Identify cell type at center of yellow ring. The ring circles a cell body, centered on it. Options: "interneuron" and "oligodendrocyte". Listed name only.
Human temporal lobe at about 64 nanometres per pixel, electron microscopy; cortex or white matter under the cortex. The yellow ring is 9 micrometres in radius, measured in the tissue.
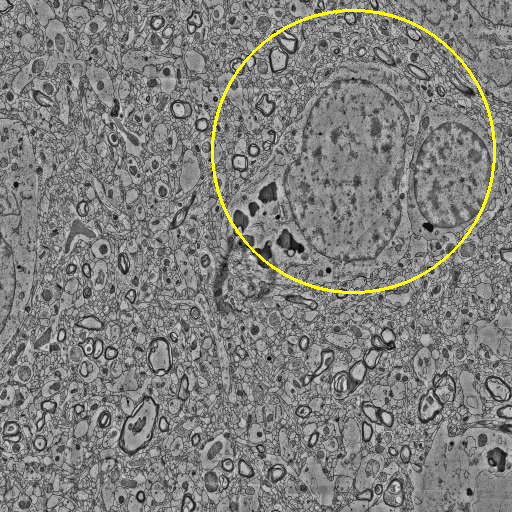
interneuron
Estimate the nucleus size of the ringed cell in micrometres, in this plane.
About 12 by 8 micrometers for the nucleus, in this plane.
